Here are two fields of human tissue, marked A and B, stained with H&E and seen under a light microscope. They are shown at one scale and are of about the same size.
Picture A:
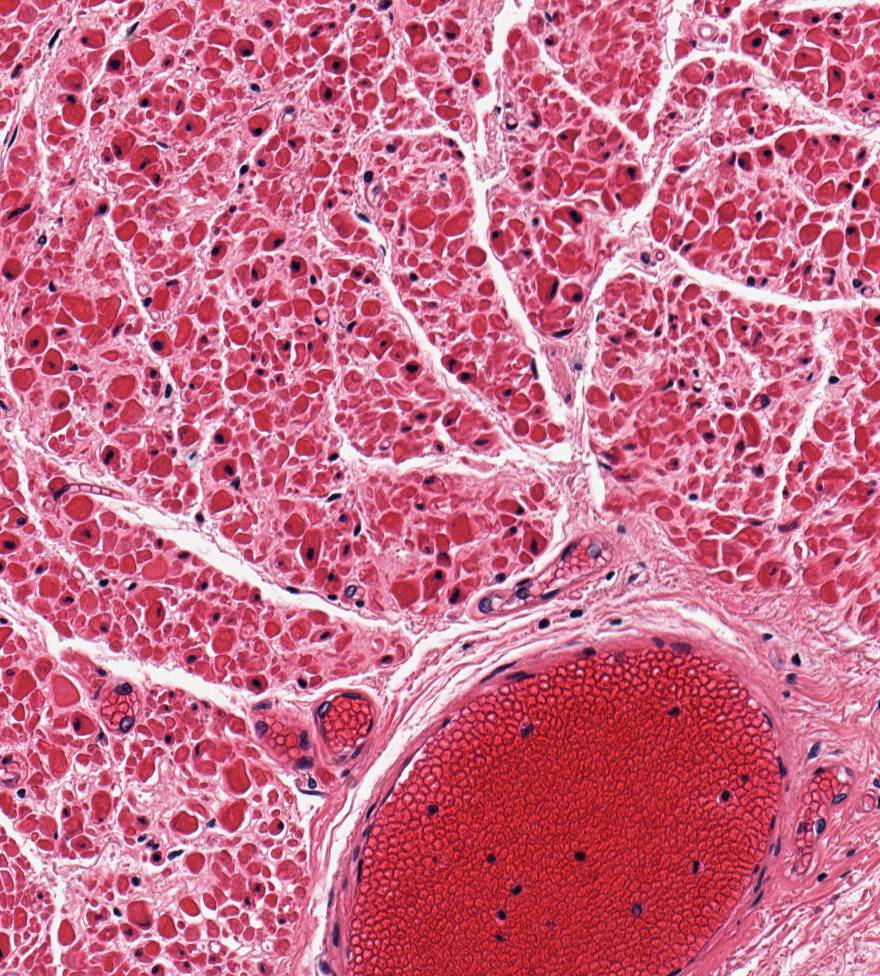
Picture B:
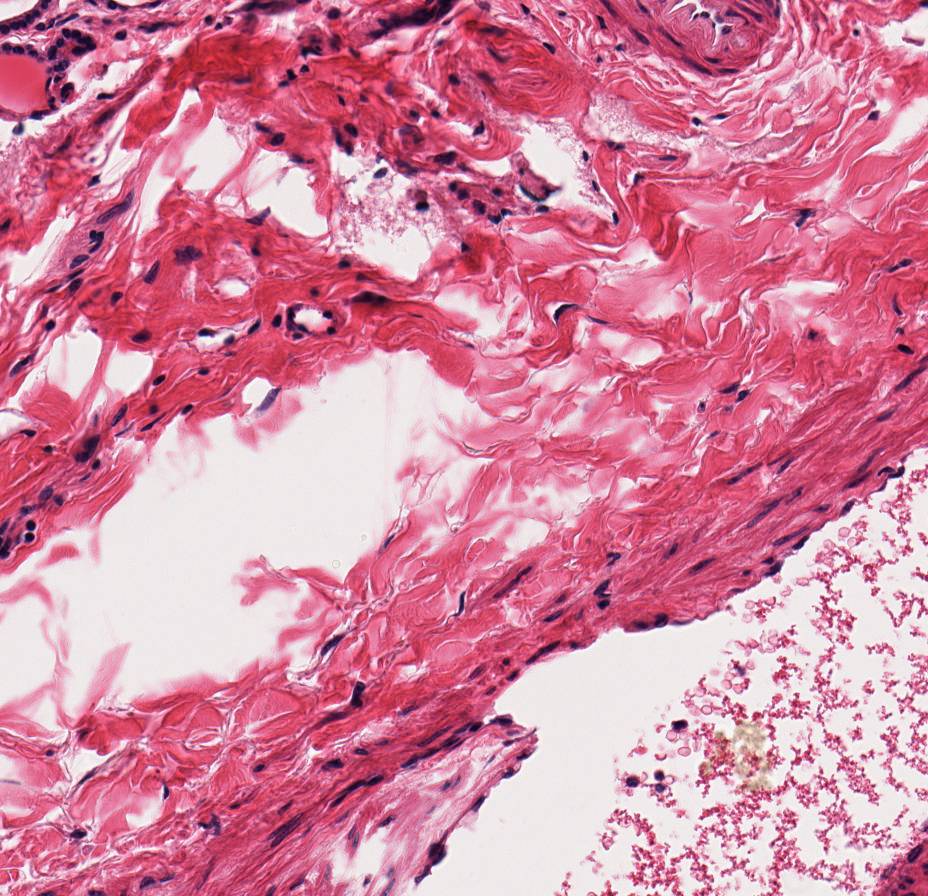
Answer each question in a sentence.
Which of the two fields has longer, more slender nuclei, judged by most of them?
Longer, more slender nuclei lie in picture B.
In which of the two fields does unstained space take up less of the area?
Less of picture A is empty and white.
